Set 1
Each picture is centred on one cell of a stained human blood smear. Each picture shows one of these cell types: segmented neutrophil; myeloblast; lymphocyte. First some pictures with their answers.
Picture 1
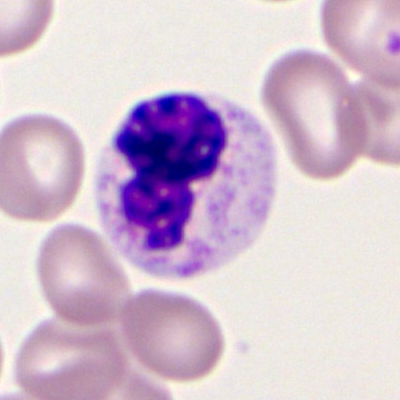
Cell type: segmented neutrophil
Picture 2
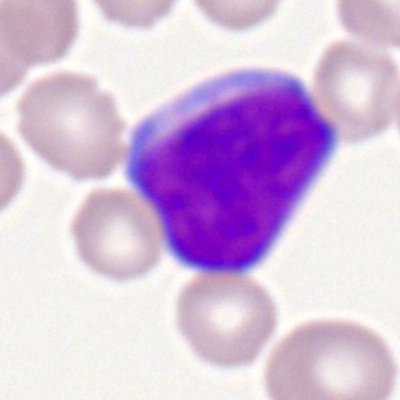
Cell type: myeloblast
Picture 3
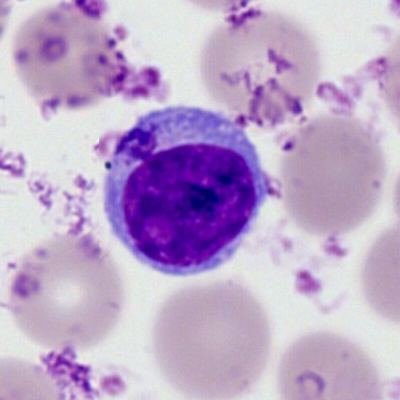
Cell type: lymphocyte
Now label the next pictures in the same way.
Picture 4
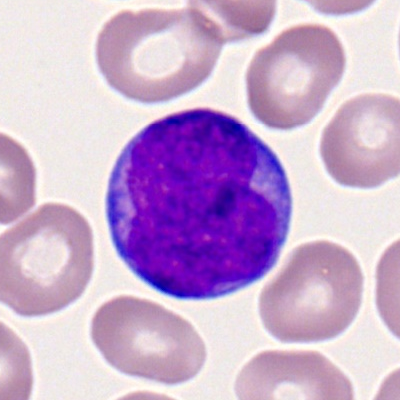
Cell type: myeloblast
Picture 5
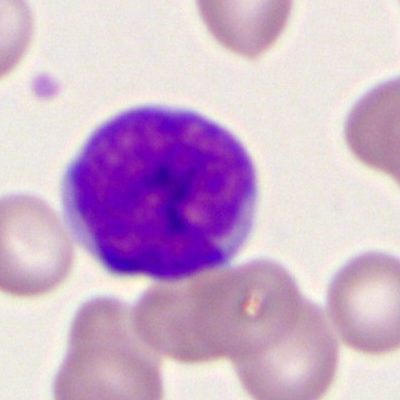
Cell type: myeloblast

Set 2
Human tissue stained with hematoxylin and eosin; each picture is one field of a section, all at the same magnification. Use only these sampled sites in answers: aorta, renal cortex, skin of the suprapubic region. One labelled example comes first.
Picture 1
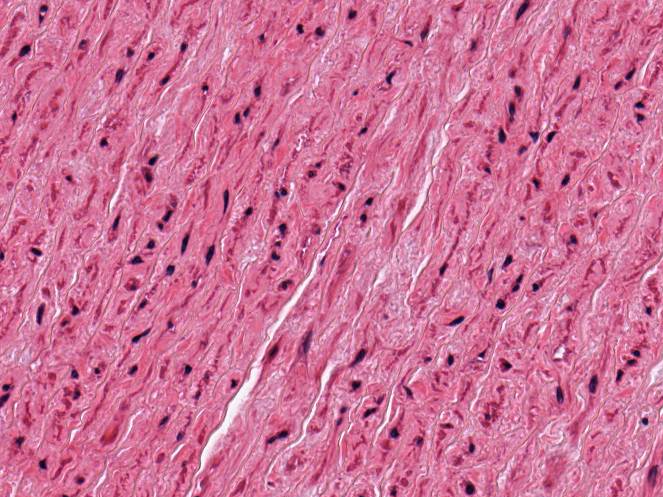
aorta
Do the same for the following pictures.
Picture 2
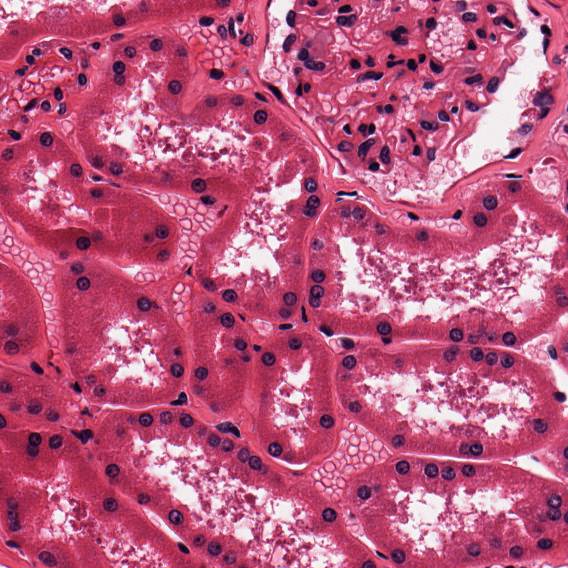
renal cortex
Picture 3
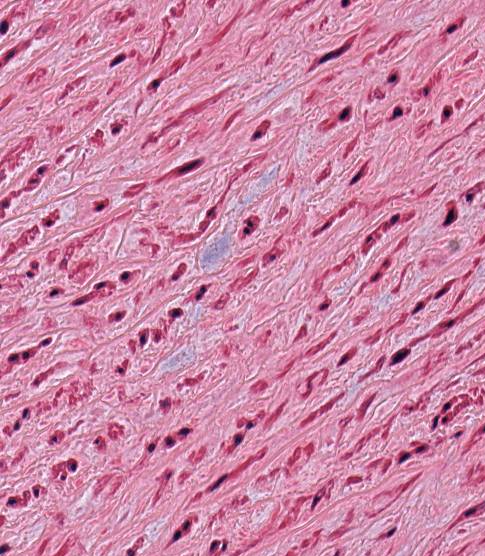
aorta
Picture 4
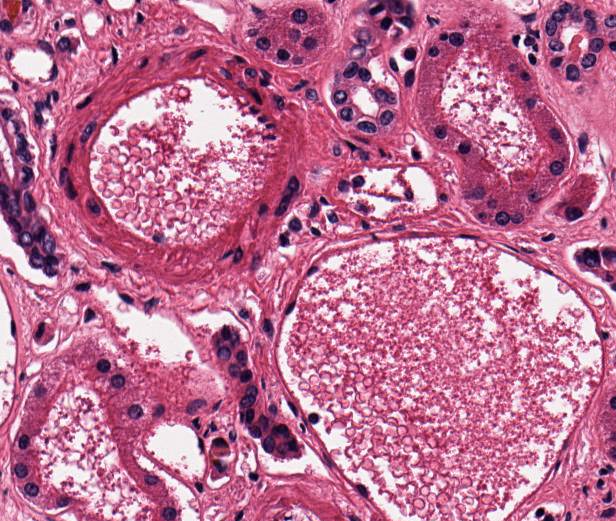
renal cortex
